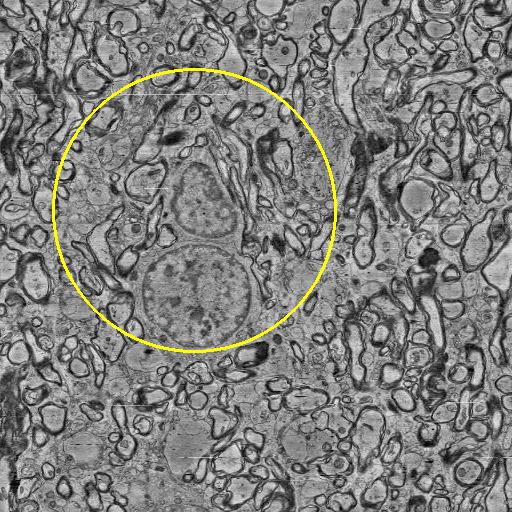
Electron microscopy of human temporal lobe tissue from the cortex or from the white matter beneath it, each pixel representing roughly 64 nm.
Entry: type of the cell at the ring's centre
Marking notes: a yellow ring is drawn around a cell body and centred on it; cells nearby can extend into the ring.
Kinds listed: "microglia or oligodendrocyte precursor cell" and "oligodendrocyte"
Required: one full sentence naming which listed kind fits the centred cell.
My entry names an oligodendrocyte as the cell whose body the yellow ring centres on.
